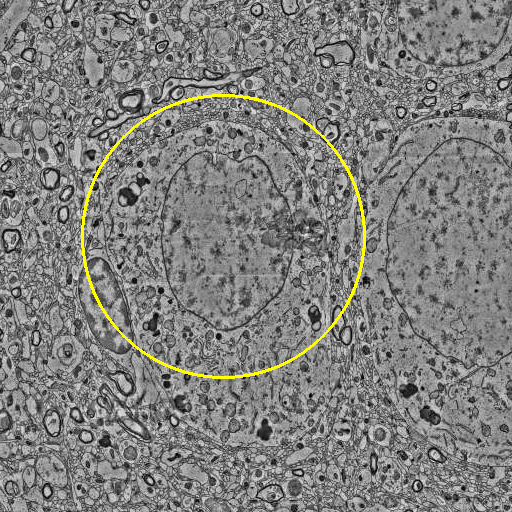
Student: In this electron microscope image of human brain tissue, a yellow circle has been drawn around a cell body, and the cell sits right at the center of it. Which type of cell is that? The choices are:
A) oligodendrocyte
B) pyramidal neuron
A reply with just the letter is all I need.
B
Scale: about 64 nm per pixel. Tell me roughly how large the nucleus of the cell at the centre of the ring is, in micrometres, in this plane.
About 12 micrometres by about 8 micrometres in this plane.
